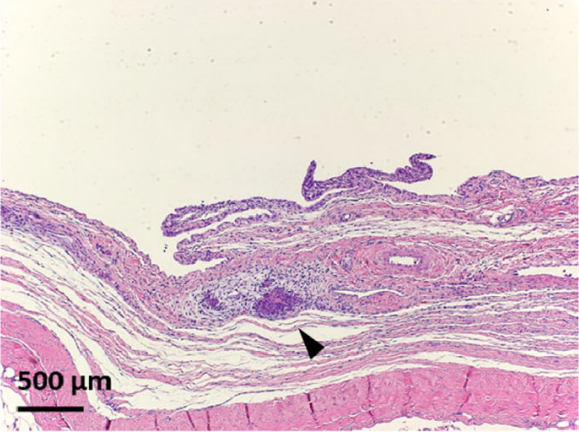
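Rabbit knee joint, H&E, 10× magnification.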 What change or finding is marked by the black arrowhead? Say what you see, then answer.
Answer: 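Aggregation of inflammatory cells. Dense clusters of small, dark purple nuclei lie just above the arrowhead. The clusters sit within otherwise sparsely nucleated pink fibrous tissue.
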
